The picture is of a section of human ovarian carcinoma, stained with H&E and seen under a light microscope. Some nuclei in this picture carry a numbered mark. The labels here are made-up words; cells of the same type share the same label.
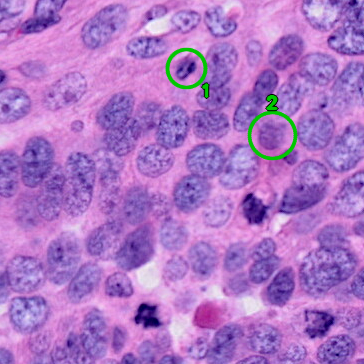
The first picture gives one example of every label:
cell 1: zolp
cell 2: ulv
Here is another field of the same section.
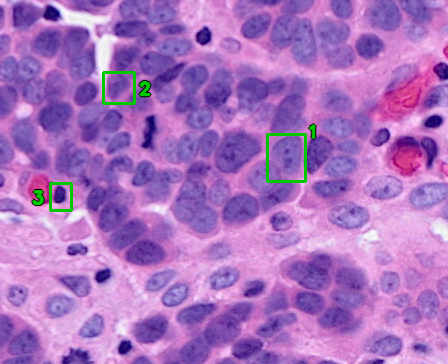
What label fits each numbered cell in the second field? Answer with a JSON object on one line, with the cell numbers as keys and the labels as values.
{"1": "ulv", "2": "ulv", "3": "zolp"}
